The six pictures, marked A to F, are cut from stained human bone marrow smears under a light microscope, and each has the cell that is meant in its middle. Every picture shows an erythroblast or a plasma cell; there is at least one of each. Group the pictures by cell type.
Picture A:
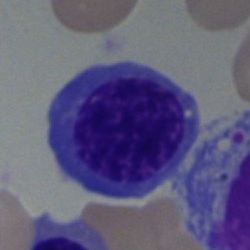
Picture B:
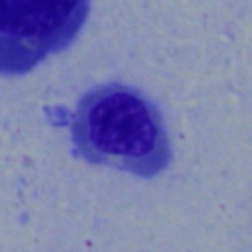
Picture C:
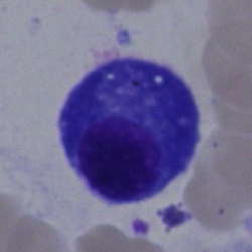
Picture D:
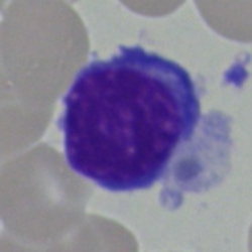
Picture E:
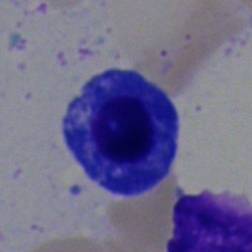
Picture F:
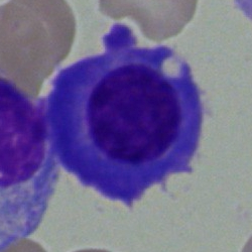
A: erythroblast
B: erythroblast
C: plasma cell
D: plasma cell
E: plasma cell
F: plasma cell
